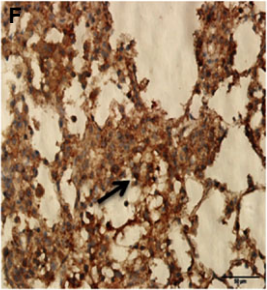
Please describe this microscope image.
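Lung tissue with fibroblast-like cells in thickened alveolar walls. Intense dark brown staining fills the cytoplasm of many cells, forming broad confluent bands and clusters between irregular pale air spaces. The septa are widened and highly cellular, with crowded nuclei partly obscured by the stain. Air spaces are irregular and narrowed in places, and the stained tissue forms a meshwork around them rather than thin delicate walls.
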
